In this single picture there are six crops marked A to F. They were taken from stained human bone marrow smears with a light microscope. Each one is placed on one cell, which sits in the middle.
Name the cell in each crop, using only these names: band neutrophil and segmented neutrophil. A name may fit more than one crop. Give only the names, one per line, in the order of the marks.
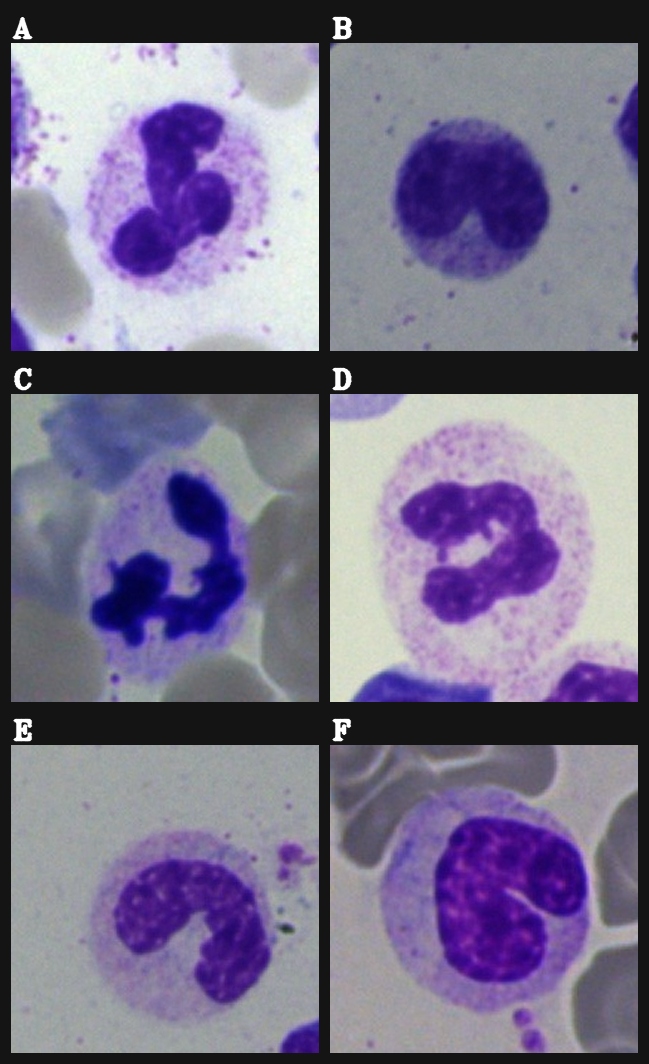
segmented neutrophil
band neutrophil
segmented neutrophil
segmented neutrophil
segmented neutrophil
band neutrophil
